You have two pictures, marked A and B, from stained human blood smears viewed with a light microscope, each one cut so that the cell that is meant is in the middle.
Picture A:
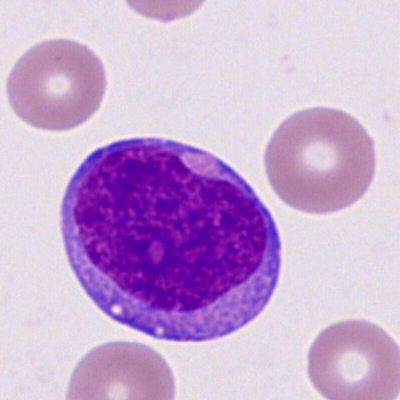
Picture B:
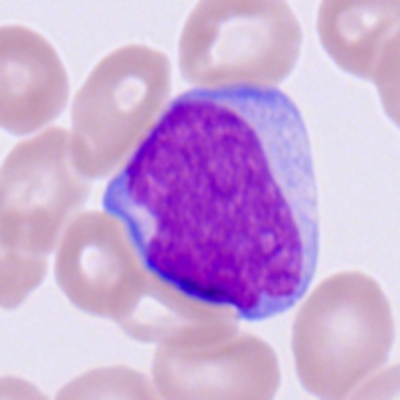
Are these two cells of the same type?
yes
